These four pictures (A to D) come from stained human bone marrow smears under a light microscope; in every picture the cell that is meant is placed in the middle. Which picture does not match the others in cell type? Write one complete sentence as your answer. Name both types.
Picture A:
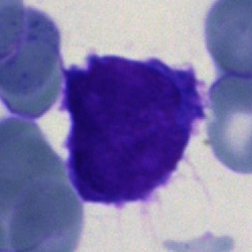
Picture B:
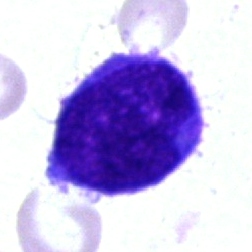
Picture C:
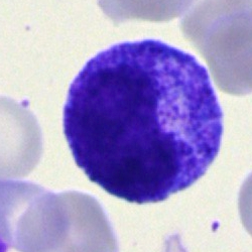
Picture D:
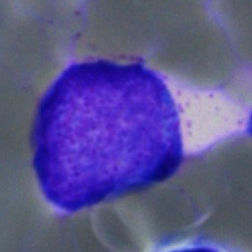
Picture C is the odd one out: it shows a promyelocyte, while the others show blasts.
